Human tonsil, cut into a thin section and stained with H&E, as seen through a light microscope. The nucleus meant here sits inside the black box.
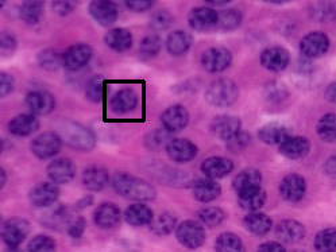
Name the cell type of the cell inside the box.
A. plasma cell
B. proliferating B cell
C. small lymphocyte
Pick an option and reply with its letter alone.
A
